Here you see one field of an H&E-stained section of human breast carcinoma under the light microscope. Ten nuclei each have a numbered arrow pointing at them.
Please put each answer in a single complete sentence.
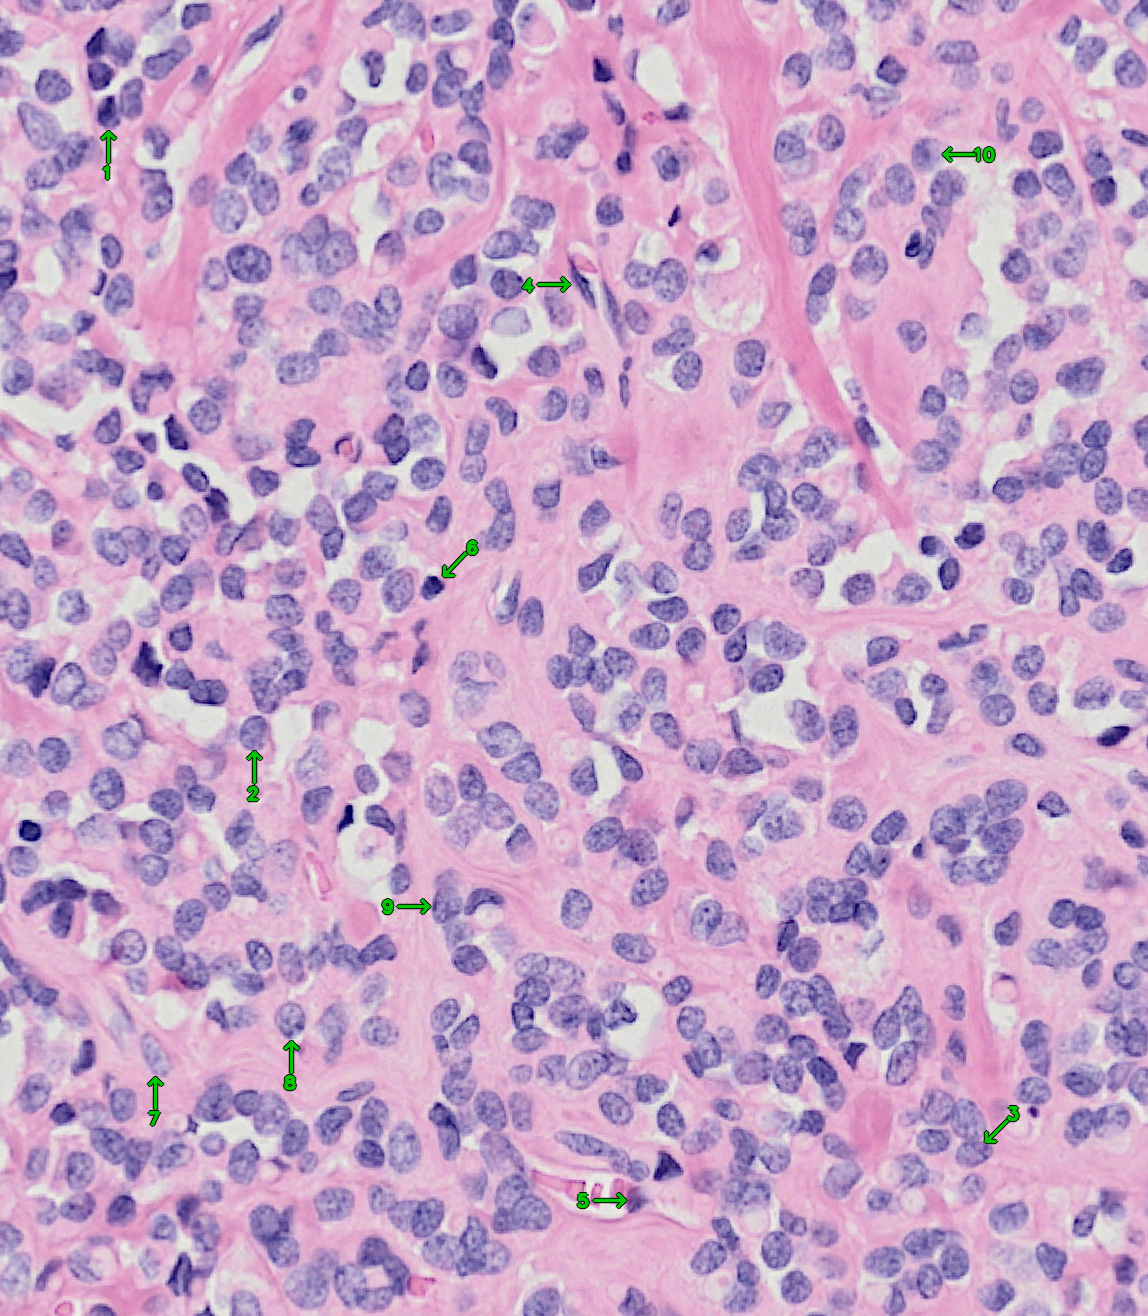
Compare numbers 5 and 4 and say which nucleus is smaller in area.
Nucleus 5 is the smaller one; nucleus 4 covers about 1.5 times its area.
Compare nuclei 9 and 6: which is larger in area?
Nucleus 9 is the larger one, covering about 2.5 times the area of nucleus 6.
